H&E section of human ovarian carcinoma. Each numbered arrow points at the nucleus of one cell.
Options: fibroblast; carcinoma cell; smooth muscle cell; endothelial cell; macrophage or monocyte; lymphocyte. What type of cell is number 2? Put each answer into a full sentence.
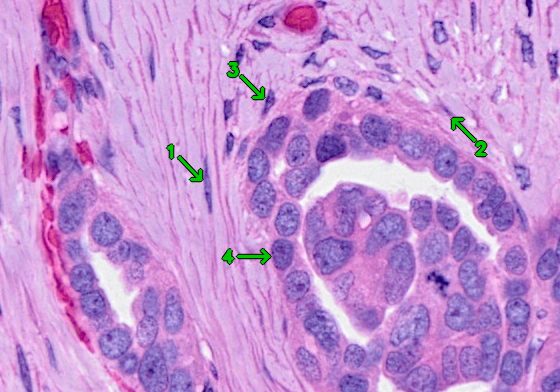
The cell given label 2 is a fibroblast.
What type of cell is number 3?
The cell marked with the number 3 is a fibroblast.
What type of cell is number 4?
The one numbered 4 among the marked cells is a carcinoma cell.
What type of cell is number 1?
The cell identified by number 1 is a fibroblast.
